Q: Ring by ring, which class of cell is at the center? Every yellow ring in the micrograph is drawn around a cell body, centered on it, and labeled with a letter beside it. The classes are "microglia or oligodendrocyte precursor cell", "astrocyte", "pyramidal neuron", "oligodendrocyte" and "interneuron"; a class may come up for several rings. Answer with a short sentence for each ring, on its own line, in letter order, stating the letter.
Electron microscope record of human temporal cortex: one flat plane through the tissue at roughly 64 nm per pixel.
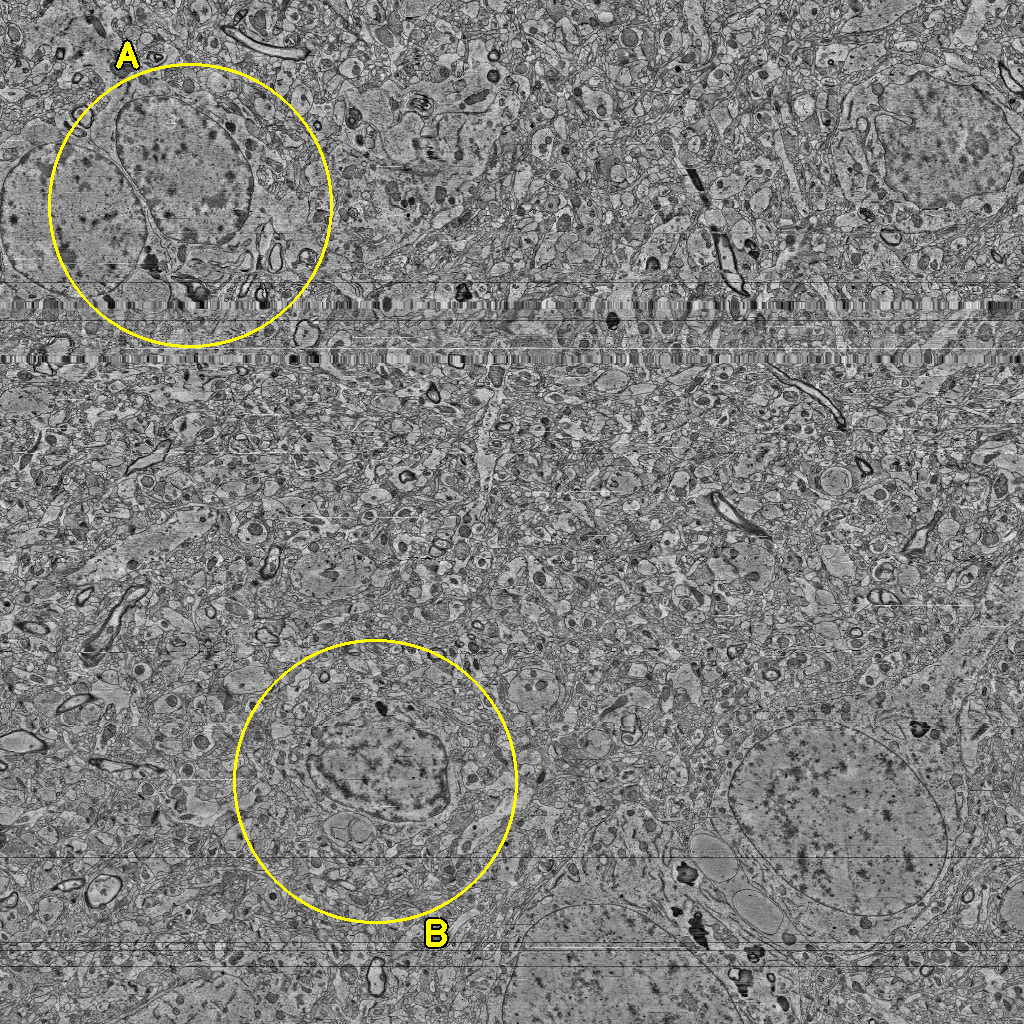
Ring A holds an astrocyte at its center.
Ring B holds an interneuron at its center.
